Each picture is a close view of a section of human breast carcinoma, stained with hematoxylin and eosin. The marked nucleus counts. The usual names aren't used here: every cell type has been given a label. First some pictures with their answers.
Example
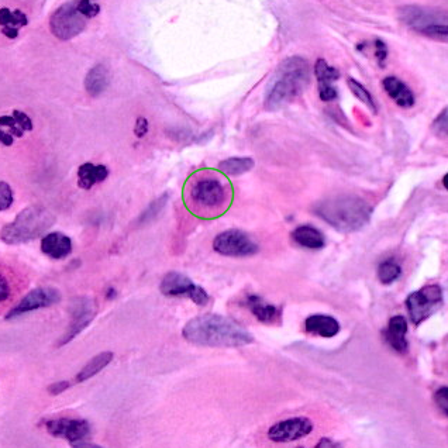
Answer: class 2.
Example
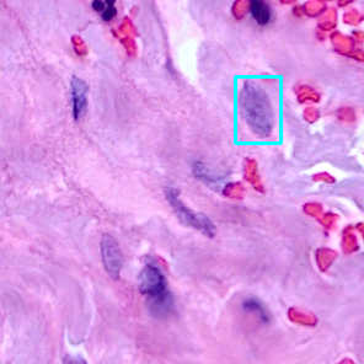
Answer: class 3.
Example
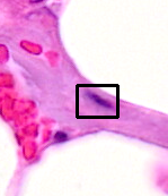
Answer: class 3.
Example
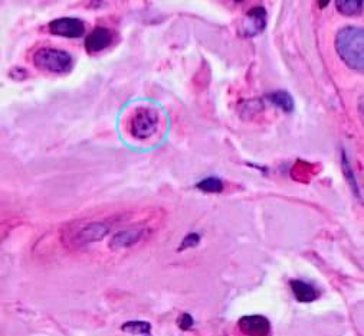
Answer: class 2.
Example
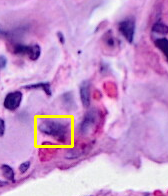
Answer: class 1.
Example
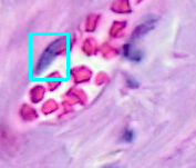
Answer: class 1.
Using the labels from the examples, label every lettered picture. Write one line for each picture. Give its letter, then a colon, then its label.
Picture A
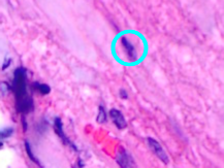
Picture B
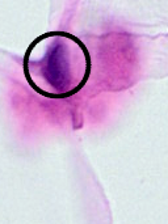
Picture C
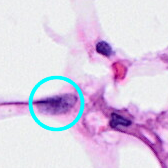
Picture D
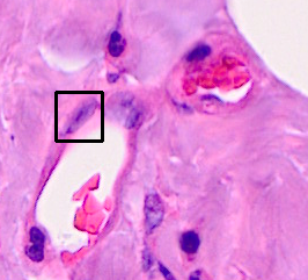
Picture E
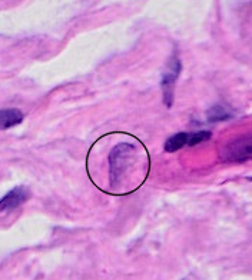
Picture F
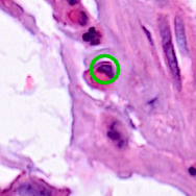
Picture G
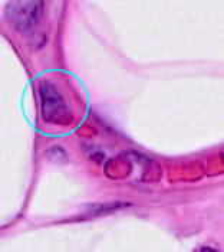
A: class 3.
B: class 3.
C: class 3.
D: class 1.
E: class 3.
F: class 1.
G: class 1.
